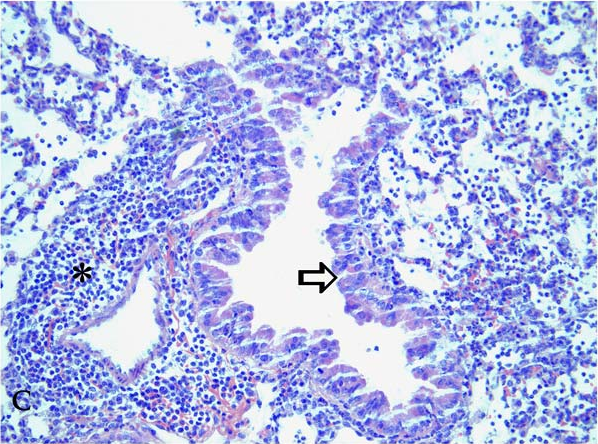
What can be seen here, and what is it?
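This lung tissue shows a bronchiole and a neighbouring blood vessel with a dense cuff of inflammatory cells around the vessel, small round cells with dark nuclei packed in sheets. The bronchiolar epithelium lining the large airway is tall and columnar, with abundant pink cytoplasm and bulging apices, thrown into folds along the lumen. Around these structures the alveolar septa are thickened and many small round cells lie within the alveolar spaces.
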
